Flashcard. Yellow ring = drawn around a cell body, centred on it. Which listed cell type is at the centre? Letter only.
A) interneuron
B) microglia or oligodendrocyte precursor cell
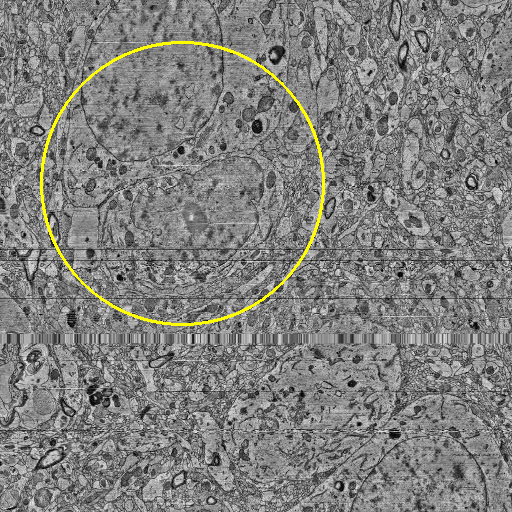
A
